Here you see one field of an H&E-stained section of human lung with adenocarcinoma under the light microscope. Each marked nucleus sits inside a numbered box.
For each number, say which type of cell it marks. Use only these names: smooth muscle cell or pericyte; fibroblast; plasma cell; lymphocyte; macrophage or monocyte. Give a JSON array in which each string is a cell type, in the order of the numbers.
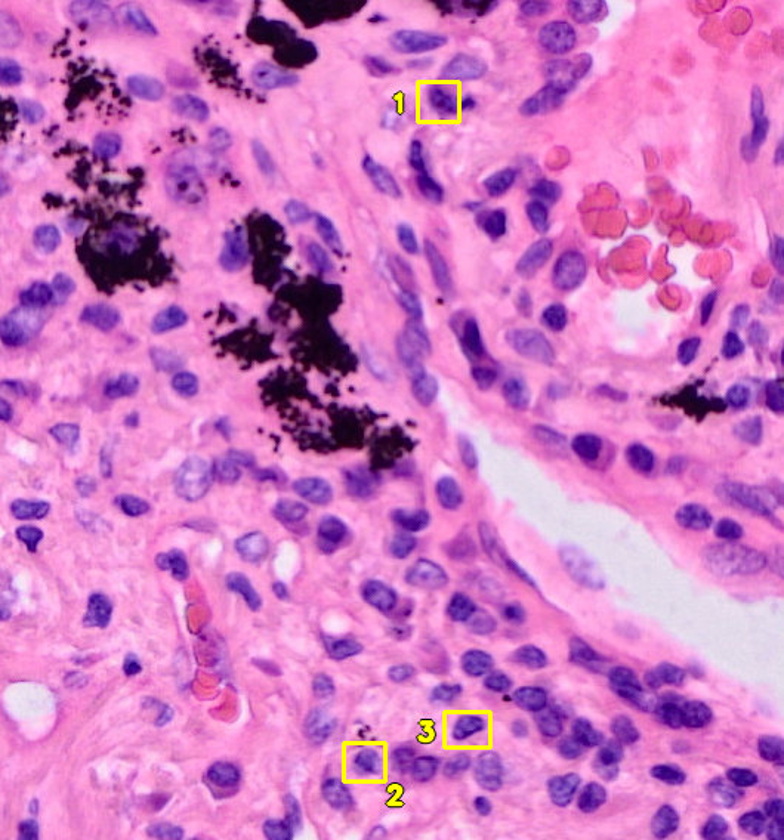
["plasma cell", "lymphocyte", "lymphocyte"]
